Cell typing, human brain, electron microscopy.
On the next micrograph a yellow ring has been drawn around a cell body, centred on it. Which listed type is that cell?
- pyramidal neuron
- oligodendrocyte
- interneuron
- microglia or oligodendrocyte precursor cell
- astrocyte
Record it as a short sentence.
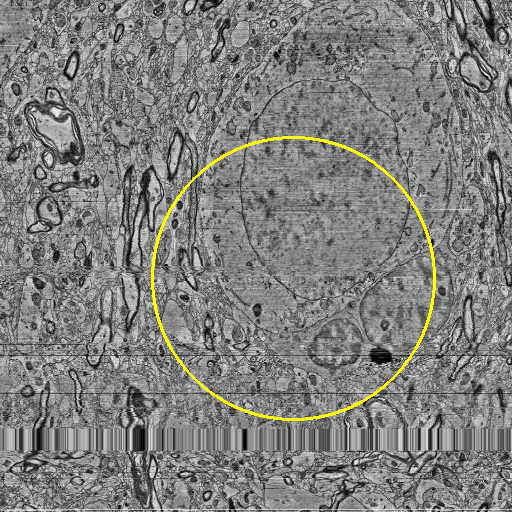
The cell body in the ring's centre belongs to a pyramidal neuron.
